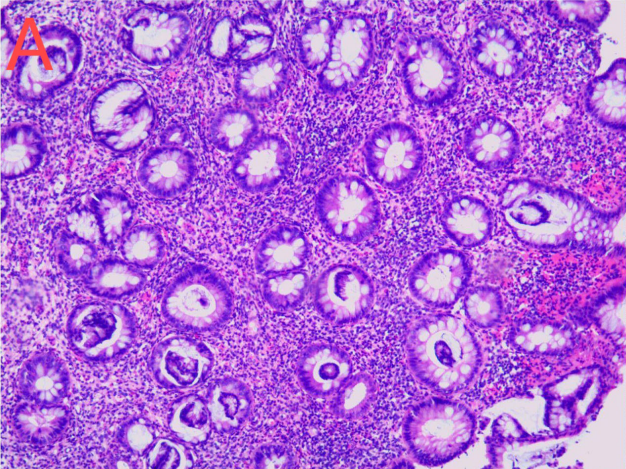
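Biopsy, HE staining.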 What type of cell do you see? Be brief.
Inflammatory cells.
